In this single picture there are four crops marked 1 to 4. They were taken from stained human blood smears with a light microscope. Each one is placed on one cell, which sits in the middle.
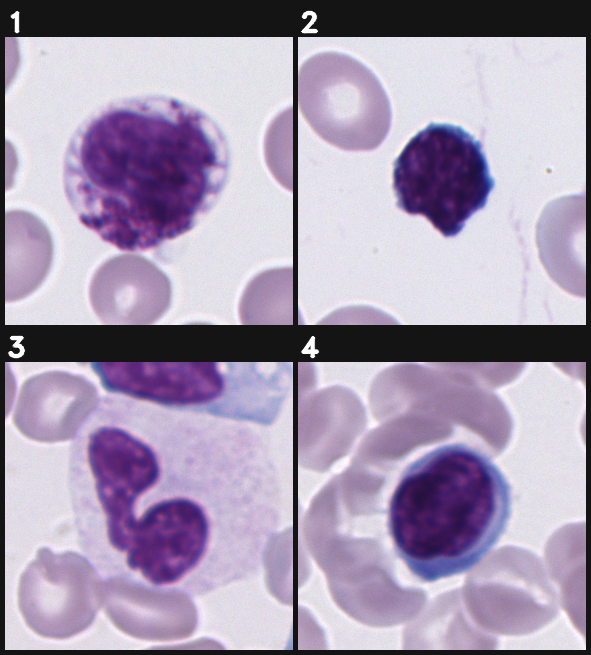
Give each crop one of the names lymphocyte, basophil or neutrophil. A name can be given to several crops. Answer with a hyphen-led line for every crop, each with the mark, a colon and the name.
- 1: basophil
- 2: lymphocyte
- 3: neutrophil
- 4: lymphocyte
